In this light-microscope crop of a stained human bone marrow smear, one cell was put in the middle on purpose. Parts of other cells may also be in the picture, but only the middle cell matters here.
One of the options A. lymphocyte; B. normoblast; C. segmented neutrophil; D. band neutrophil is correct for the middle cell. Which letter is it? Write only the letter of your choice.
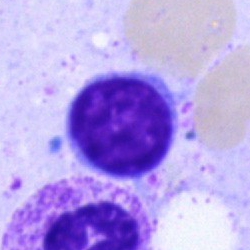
A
